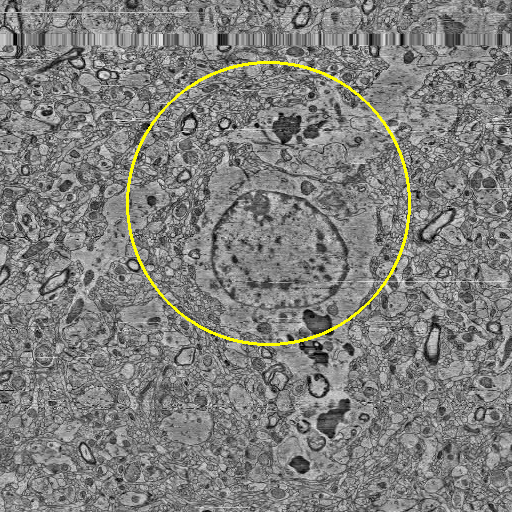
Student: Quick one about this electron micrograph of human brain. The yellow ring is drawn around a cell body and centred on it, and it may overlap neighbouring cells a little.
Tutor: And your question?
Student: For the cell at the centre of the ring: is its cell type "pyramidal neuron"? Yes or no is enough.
no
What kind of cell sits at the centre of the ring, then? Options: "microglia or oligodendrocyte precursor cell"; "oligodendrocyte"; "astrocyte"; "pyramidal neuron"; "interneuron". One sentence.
As it turns out, the cell at the ring centre is an astrocyte.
